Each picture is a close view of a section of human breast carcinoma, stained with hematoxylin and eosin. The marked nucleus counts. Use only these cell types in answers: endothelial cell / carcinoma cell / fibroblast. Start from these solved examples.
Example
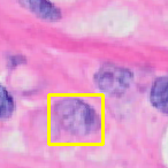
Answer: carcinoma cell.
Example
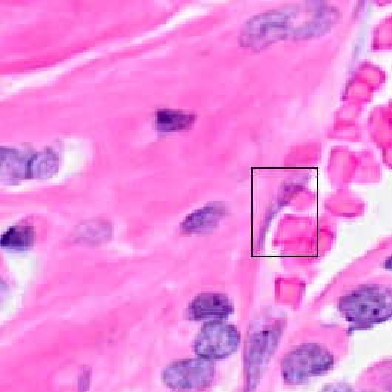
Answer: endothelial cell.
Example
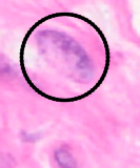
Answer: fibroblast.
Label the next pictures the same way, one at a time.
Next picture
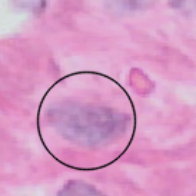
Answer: fibroblast.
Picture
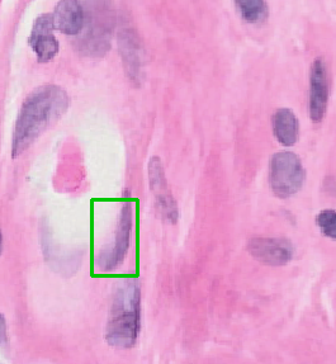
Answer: endothelial cell.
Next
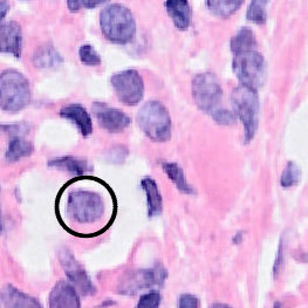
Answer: carcinoma cell.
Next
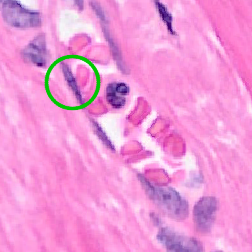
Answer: endothelial cell.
